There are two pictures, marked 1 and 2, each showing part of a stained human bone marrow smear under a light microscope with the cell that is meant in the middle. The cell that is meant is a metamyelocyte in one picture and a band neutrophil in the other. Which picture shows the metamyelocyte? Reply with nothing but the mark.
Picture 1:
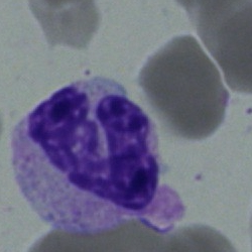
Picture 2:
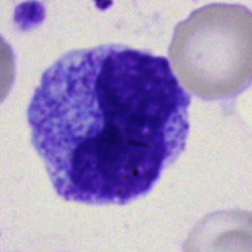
2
